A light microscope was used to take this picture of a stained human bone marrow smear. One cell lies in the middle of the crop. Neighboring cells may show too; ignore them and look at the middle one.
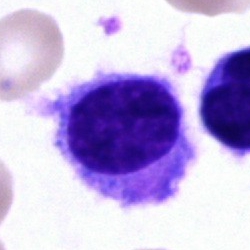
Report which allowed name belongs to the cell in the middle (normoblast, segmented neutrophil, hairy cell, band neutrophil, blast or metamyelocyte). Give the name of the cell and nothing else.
hairy cell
